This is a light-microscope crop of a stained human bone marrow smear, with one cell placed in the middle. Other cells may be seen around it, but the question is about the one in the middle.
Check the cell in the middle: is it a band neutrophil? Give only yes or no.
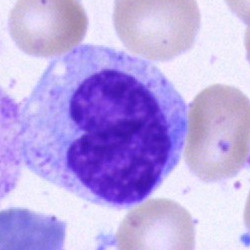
no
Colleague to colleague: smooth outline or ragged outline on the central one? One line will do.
From every side, the cell boundary is smooth and free of projections.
